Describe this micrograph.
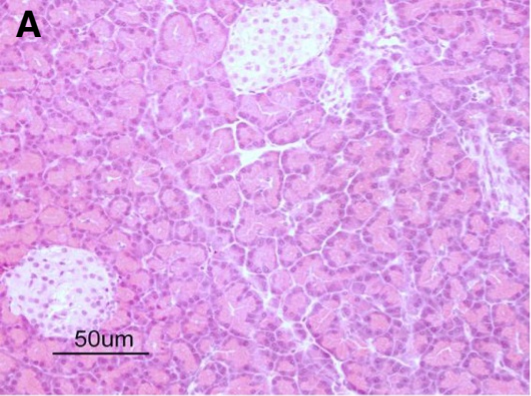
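Evenly distributed pink acinar cells form small rounded clusters separated by thin pale septa, with purple nuclei at the cluster bases. Two rounded, much paler clusters of small cells with round nuclei sit within this tissue. These are the exocrine acini of the pancreas with two islets of Langerhans in a normal architecture.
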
